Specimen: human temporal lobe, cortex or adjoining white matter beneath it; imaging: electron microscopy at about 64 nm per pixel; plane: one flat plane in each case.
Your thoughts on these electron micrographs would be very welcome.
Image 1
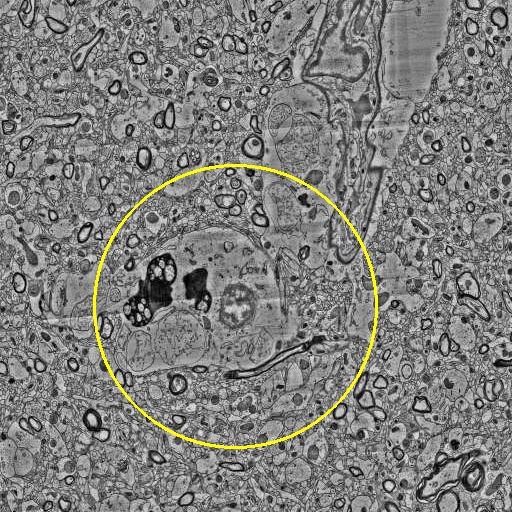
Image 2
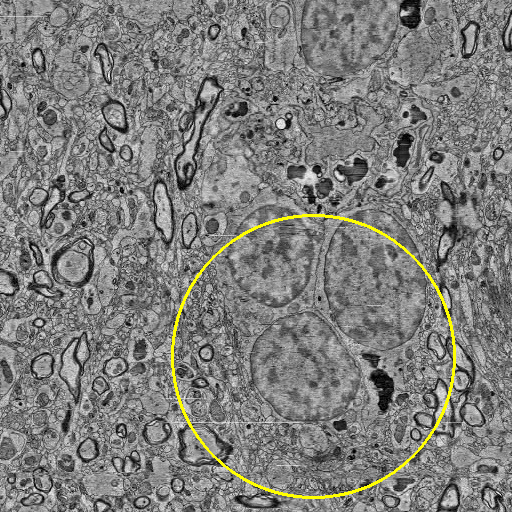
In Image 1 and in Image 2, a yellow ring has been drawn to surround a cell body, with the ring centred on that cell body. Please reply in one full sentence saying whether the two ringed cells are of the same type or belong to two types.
The ringed cells in Image 1 and Image 2 belong to two types.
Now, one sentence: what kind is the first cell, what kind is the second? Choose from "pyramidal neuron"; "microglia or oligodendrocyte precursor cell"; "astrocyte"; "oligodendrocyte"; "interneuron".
The first picture has an astrocyte at its ring centre, and the second has an oligodendrocyte.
